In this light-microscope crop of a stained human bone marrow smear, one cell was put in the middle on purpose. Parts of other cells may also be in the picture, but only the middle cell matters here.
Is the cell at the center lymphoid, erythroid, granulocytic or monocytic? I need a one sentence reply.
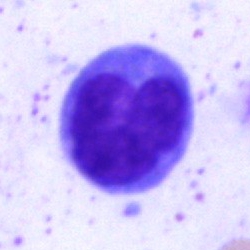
Here the cell at the center is of the monocytic lineage.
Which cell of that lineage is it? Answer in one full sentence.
What the crop centres on is a monocyte.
